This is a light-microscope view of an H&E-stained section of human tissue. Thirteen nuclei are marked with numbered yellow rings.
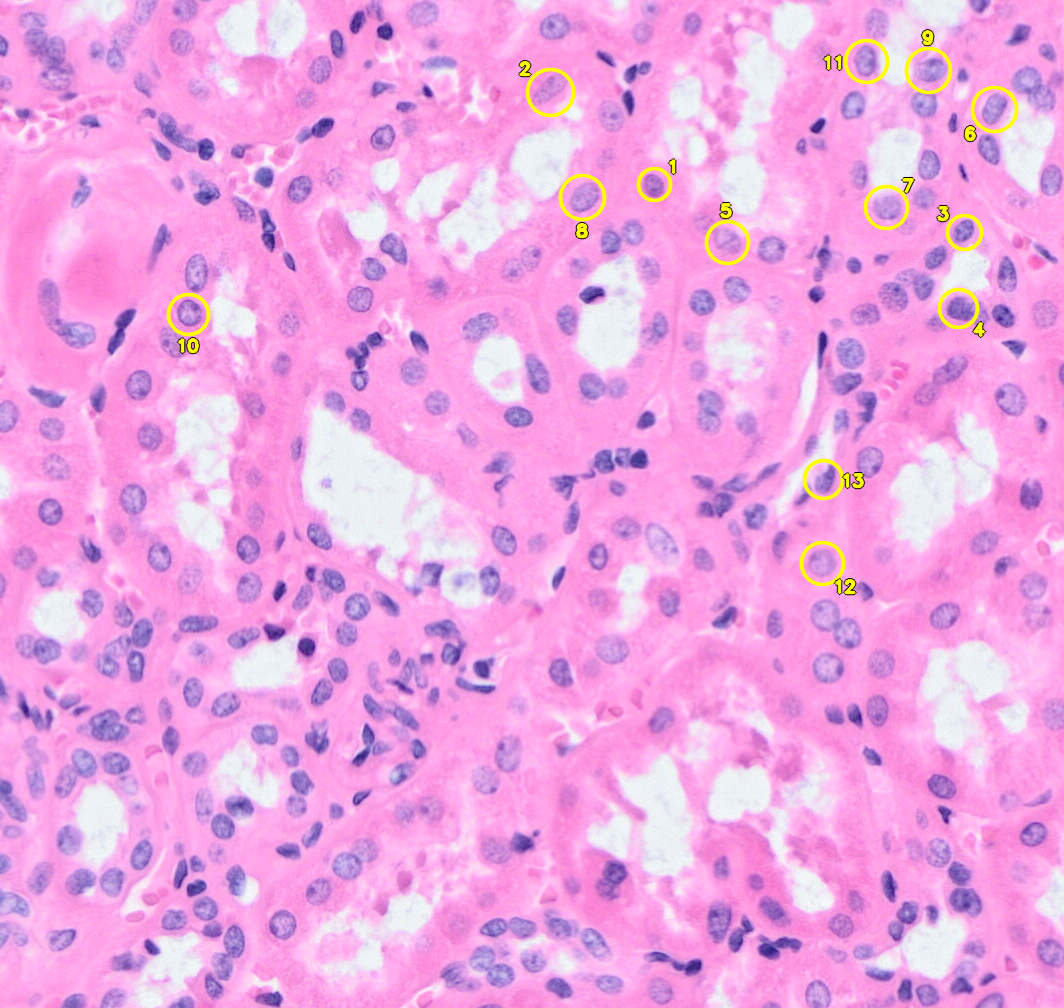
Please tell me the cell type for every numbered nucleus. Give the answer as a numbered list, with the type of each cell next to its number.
1. proximal tubule cell
2. proximal tubule cell
3. collecting duct cell
4. collecting duct cell
5. proximal tubule cell
6. loop of Henle or distal tubule cell
7. loop of Henle or distal tubule cell
8. proximal tubule cell
9. loop of Henle or distal tubule cell
10. proximal tubule cell
11. loop of Henle or distal tubule cell
12. proximal tubule cell
13. collecting duct cell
